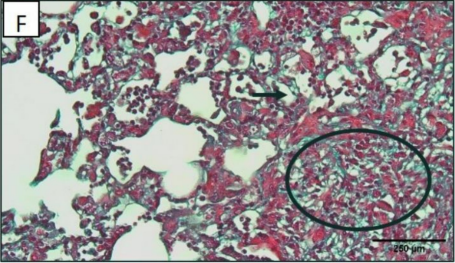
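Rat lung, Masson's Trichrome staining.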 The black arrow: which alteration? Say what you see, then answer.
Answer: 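Alveolar septal thickening. The arrow points at a broad, cell-rich wall between airspaces. The alveolar walls are much thicker than thin single-cell septa.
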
